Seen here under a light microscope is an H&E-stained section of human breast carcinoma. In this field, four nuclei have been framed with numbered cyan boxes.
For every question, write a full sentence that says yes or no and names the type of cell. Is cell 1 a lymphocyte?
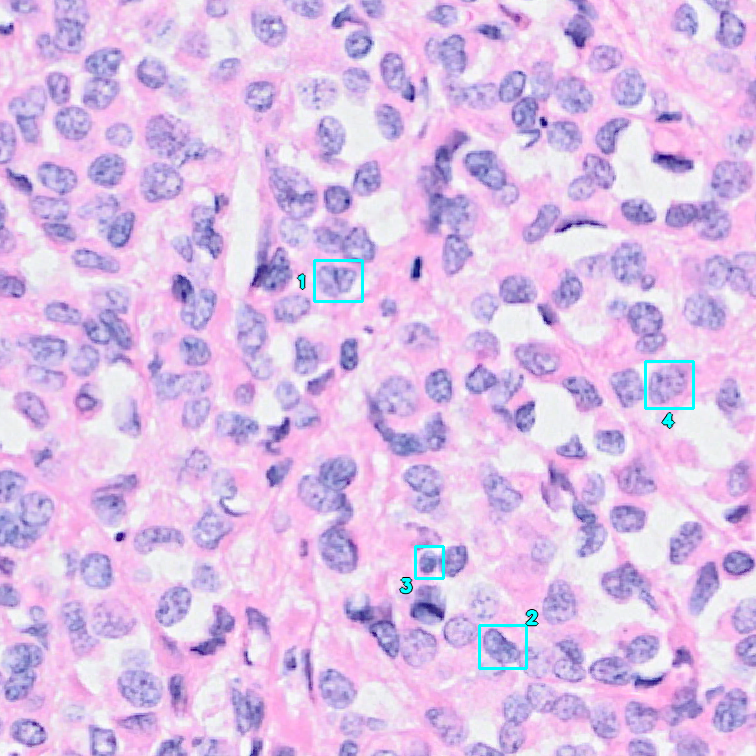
No, with respect, cell 1 is a carcinoma cell rather than a lymphocyte.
